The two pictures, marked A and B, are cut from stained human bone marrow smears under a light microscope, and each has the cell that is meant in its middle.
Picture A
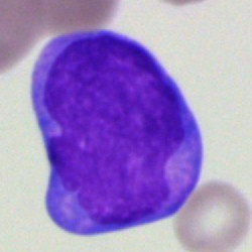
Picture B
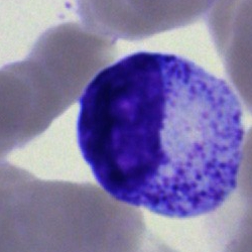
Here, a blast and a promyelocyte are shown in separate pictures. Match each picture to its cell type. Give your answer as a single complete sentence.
The cell in picture A is a blast, and the one in picture B is a promyelocyte.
